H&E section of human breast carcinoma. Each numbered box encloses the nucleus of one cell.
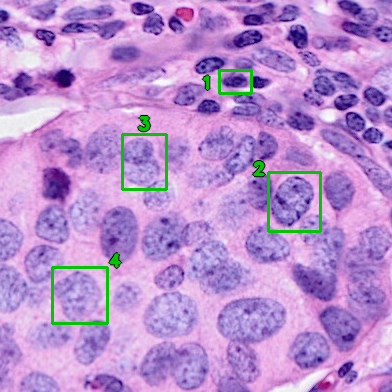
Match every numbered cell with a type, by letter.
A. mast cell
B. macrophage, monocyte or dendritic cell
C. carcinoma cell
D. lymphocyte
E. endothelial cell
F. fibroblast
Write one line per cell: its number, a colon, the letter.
1: D
2: C
3: C
4: C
